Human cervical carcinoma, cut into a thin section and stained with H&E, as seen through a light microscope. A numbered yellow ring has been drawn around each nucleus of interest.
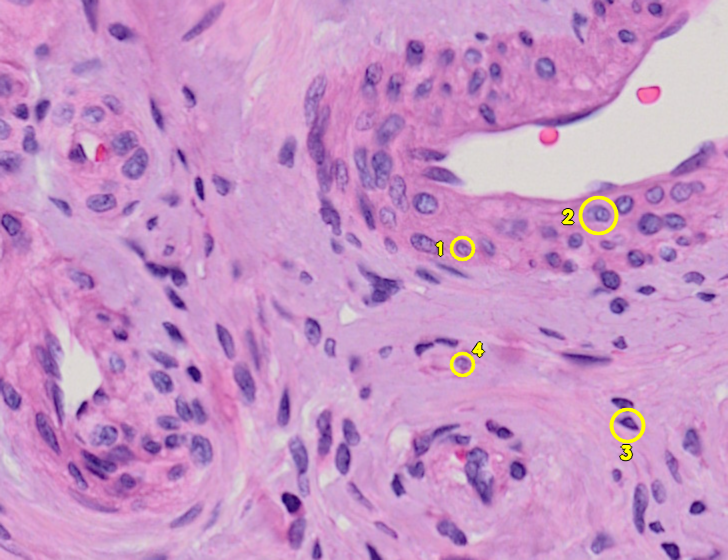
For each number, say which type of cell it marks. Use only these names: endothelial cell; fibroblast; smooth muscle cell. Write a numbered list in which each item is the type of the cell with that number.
1. smooth muscle cell
2. smooth muscle cell
3. fibroblast
4. smooth muscle cell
